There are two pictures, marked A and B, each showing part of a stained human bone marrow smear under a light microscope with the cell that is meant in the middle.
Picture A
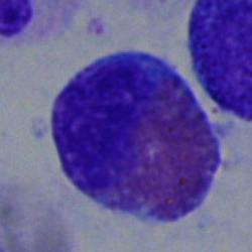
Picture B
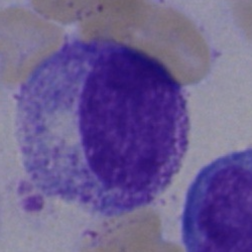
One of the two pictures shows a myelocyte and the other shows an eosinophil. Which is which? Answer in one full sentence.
Picture A is of an eosinophil, and picture B is of a myelocyte.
